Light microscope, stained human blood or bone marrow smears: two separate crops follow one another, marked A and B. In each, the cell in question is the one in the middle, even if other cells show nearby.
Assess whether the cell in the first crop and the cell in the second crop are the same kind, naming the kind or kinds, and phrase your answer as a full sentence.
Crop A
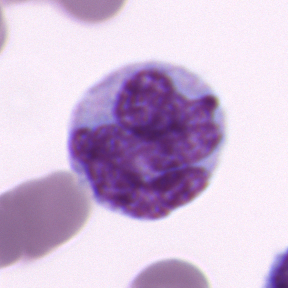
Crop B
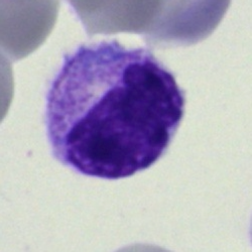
No, in this case crop A shows a monocyte, and crop B shows a myelocyte.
